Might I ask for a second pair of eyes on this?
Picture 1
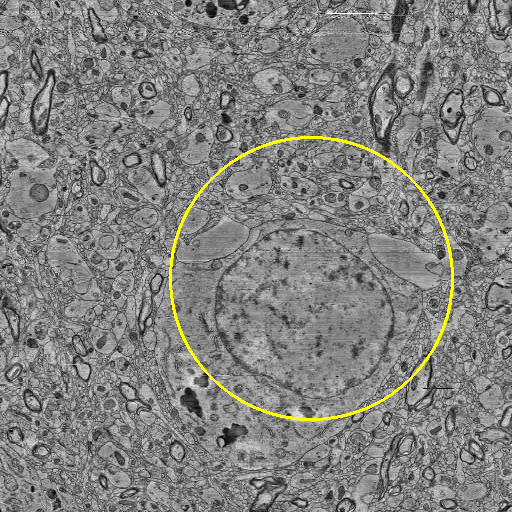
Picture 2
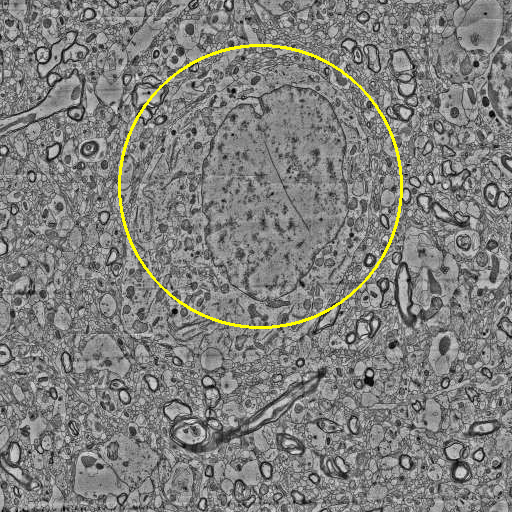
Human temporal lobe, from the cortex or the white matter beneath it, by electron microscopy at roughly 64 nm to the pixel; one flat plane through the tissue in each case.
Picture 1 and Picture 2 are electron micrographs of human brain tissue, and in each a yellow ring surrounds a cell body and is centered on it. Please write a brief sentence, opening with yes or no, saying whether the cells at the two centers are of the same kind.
Yes, the cells are of the same kind.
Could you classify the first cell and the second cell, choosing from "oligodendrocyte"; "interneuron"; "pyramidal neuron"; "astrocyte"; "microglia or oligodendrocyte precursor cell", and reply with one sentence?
Each of the two rings is centred on an interneuron.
